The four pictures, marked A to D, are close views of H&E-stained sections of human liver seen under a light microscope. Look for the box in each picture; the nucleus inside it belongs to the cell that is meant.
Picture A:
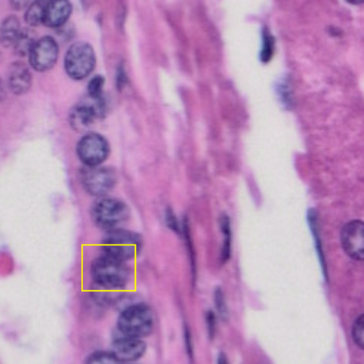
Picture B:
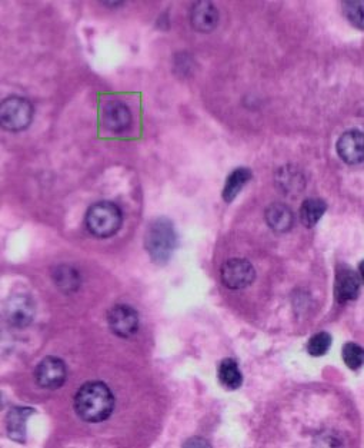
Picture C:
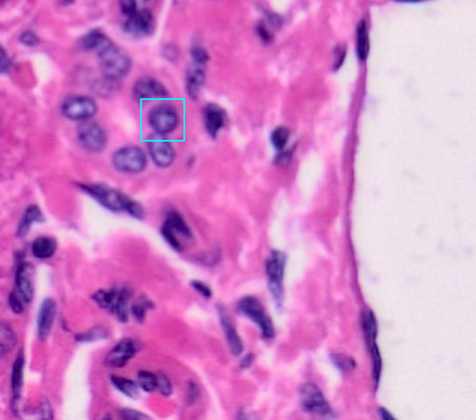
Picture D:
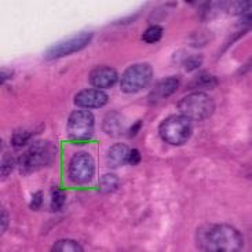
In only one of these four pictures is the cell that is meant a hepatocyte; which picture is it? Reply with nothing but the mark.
B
